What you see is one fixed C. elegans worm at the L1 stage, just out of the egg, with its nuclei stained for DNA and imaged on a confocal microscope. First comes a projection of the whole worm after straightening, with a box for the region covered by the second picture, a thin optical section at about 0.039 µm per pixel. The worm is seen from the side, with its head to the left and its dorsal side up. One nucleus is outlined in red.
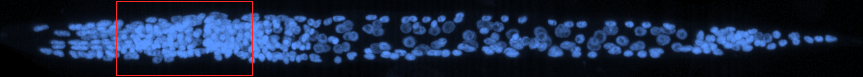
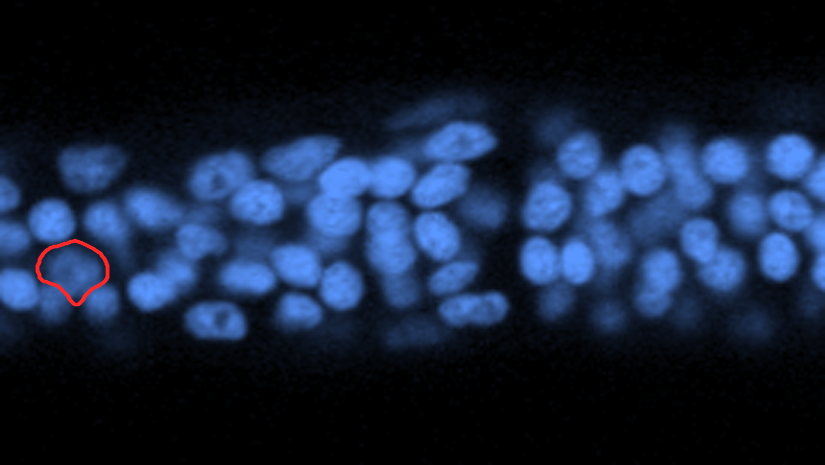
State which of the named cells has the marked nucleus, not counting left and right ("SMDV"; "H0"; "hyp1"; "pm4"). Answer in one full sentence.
The cell whose nucleus is marked is H0, a seam cell.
